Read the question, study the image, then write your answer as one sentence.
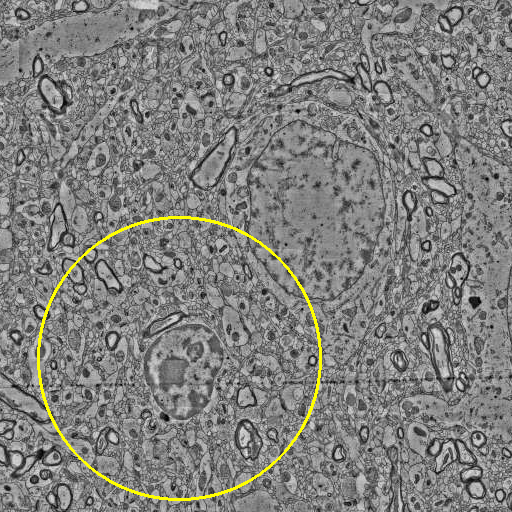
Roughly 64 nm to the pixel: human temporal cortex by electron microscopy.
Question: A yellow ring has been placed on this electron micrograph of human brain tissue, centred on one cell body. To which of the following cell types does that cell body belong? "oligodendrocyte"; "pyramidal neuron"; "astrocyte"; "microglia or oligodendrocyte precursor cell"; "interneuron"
That cell body belongs to a microglial cell or oligodendrocyte precursor cell.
